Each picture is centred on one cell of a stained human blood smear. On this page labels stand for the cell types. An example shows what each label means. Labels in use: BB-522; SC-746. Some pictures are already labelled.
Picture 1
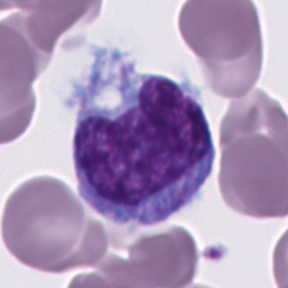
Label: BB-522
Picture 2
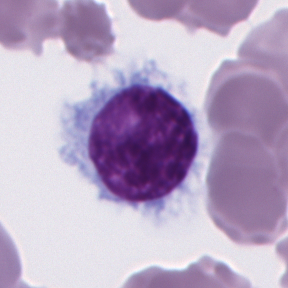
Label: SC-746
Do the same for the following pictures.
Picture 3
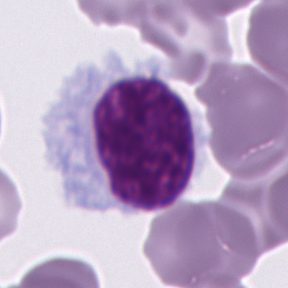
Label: SC-746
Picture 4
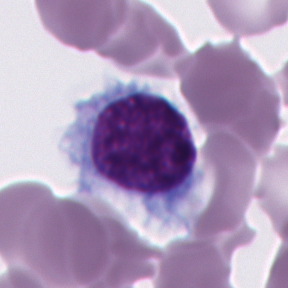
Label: SC-746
